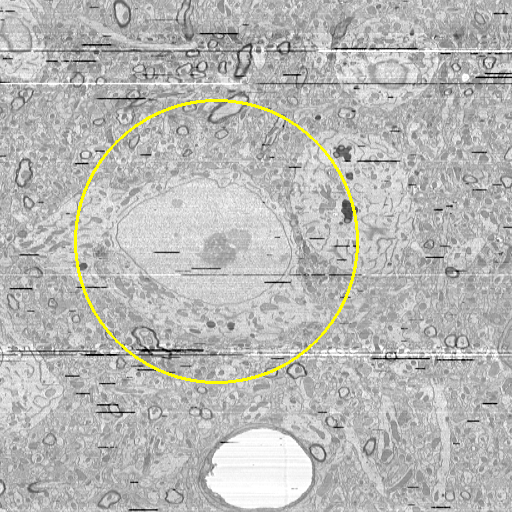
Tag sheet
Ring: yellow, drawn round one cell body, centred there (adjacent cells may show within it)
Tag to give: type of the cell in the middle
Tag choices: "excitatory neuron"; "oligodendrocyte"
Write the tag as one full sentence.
I tag the cell centred in the yellow ring as an excitatory neuron in this picture.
